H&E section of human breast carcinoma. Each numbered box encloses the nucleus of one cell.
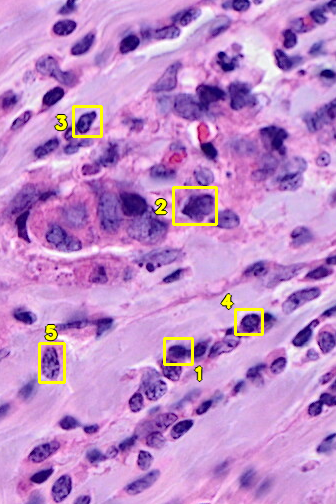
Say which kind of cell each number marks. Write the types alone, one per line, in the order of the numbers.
lymphocyte
carcinoma cell
lymphocyte
lymphocyte
mast cell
